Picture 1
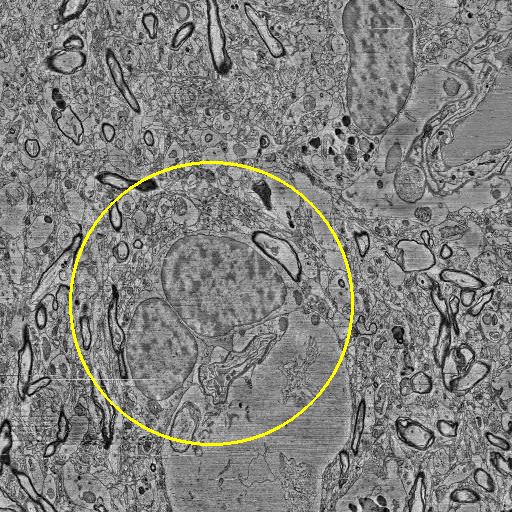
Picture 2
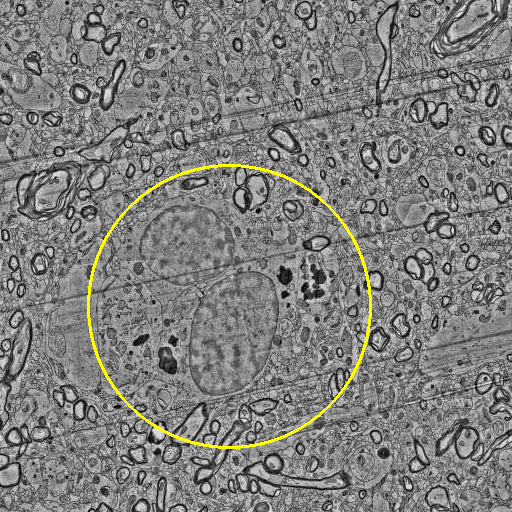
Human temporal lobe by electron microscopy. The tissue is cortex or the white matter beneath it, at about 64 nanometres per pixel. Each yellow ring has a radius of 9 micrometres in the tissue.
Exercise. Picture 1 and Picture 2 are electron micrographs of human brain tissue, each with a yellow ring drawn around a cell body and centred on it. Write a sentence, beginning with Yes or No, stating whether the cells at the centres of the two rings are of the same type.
Yes, the cells at the centres of both rings are of the same type.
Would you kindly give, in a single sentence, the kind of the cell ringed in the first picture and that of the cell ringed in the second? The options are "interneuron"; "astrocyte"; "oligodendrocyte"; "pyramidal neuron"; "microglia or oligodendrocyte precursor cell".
Each of the two cells is an oligodendrocyte.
